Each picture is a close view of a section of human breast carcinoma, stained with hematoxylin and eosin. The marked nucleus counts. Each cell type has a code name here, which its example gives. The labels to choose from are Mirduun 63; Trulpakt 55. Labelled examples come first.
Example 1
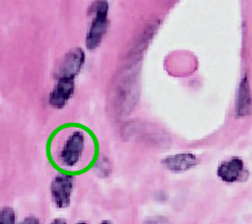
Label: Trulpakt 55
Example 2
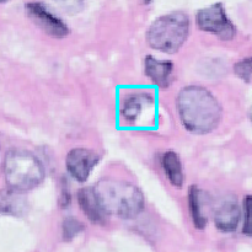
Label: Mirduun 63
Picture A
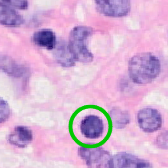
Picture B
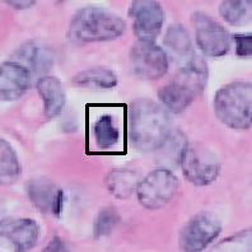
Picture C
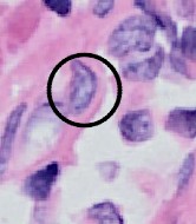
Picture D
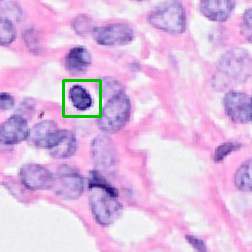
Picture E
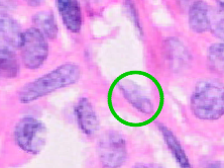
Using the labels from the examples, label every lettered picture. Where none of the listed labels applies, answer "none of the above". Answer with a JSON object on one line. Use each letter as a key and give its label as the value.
{"A": "Trulpakt 55", "B": "Trulpakt 55", "C": "Mirduun 63", "D": "Trulpakt 55", "E": "Mirduun 63"}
